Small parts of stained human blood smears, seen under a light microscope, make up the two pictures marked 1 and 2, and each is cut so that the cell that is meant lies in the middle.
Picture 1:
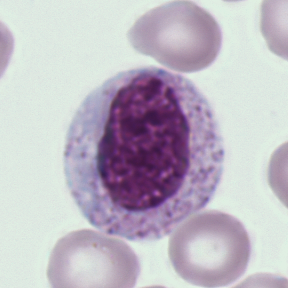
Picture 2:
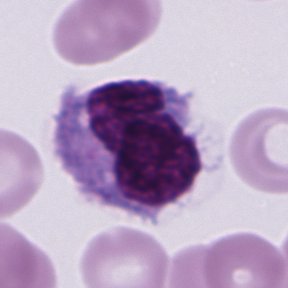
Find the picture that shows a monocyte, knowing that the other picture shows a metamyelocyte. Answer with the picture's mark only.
2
